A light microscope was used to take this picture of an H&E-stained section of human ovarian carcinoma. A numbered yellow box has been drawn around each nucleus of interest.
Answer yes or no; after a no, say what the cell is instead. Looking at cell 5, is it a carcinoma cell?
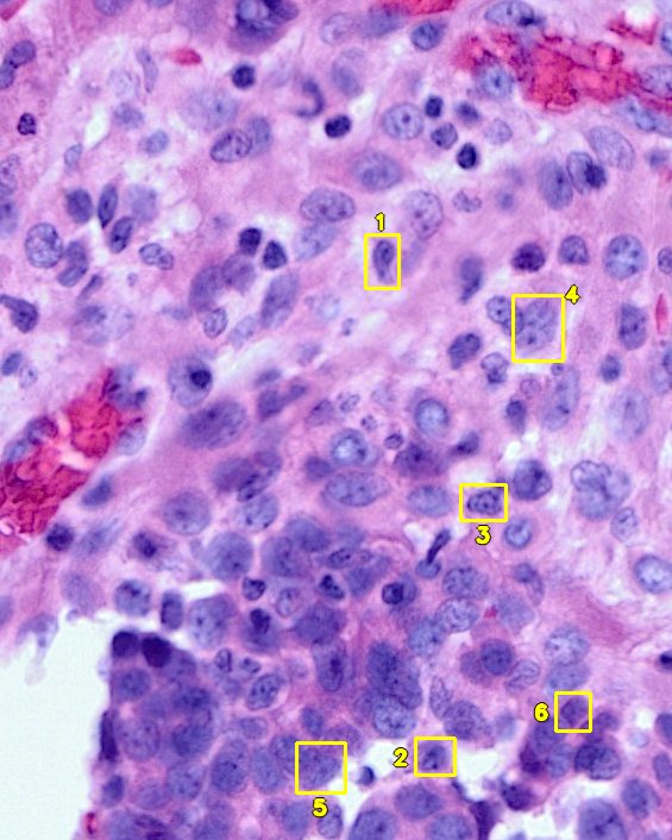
Yes.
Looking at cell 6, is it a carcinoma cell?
Yes.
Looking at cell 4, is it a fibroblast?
Yes.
